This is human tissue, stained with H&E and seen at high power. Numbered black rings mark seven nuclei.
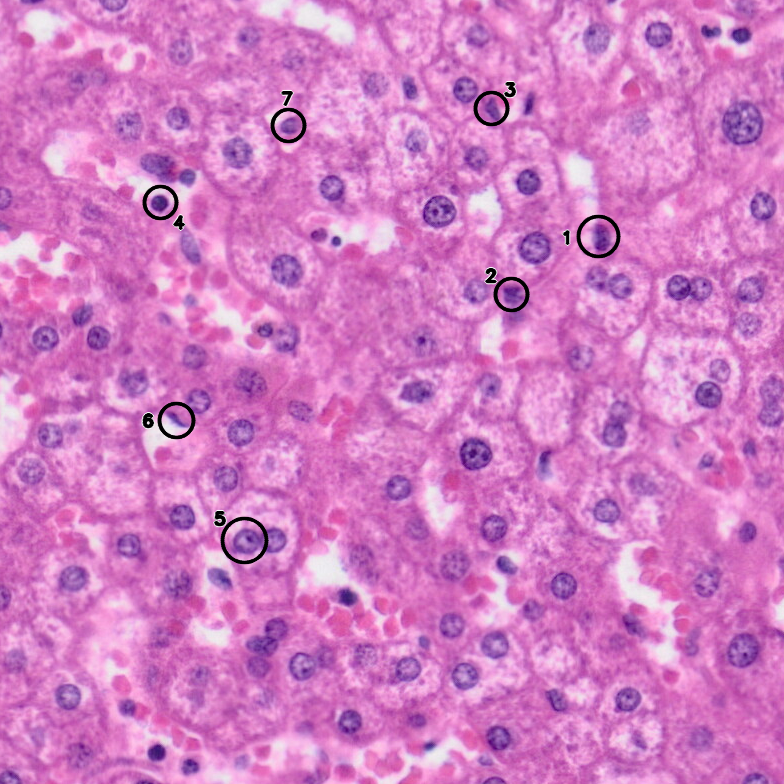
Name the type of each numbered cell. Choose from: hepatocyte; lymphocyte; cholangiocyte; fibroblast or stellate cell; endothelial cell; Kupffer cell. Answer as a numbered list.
1. endothelial cell
2. fibroblast or stellate cell
3. endothelial cell
4. lymphocyte
5. hepatocyte
6. endothelial cell
7. Kupffer cell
